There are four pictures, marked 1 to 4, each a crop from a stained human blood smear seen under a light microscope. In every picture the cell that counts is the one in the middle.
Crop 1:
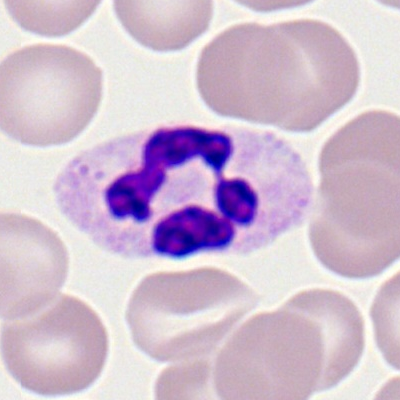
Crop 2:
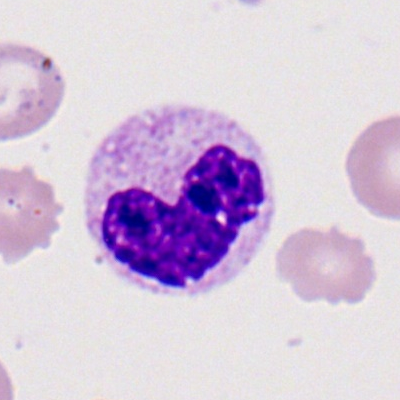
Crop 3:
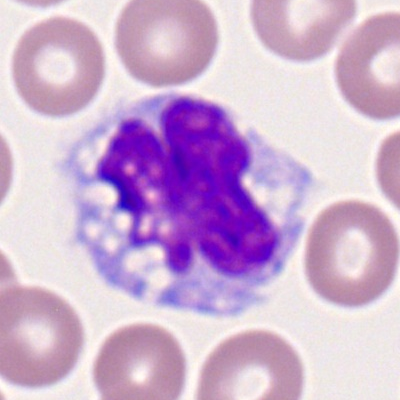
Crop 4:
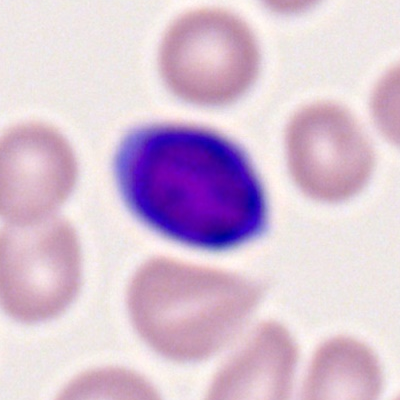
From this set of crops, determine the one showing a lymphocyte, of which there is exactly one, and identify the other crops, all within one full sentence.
Crop 4 is a lymphocyte; as for the rest, crop 1 is a segmented neutrophil, crop 2 is a band neutrophil and crop 3 is a monocyte.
